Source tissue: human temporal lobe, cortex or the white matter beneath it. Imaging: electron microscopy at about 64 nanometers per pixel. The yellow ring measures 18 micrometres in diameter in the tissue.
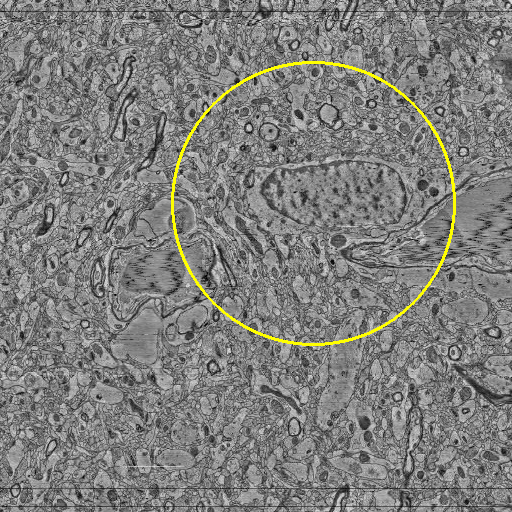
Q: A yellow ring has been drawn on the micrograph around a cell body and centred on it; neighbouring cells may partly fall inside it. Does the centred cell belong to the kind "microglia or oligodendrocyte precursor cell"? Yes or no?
Yes, it belongs to that kind.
